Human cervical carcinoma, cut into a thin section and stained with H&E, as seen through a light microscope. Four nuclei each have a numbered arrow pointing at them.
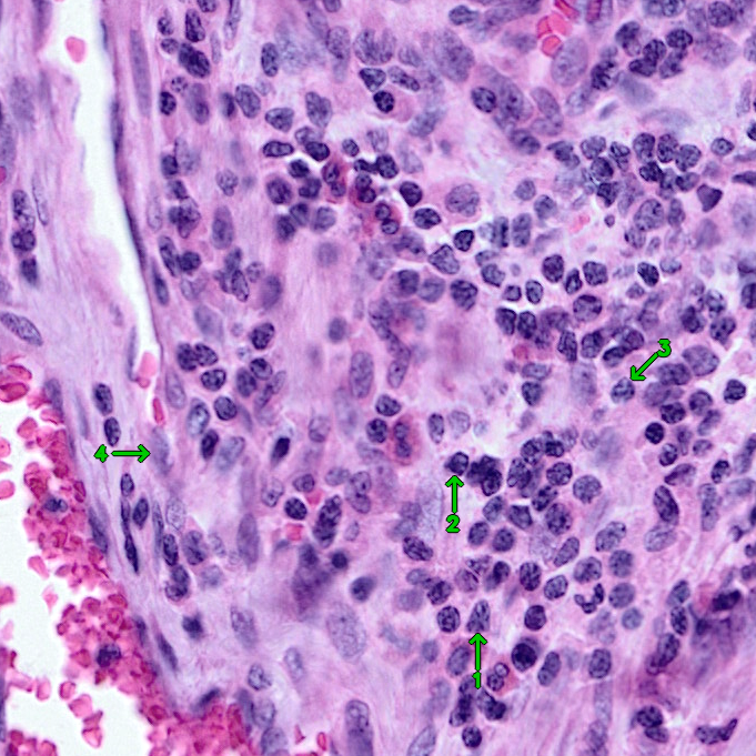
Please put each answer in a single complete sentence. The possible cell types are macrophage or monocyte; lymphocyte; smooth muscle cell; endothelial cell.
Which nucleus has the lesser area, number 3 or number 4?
Nucleus 3 covers less area, with nucleus 4 about 1.5 times as large.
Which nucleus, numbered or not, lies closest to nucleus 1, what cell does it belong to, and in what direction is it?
Lying to the left of nucleus 1, the nearest nucleus is that of a lymphocyte.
